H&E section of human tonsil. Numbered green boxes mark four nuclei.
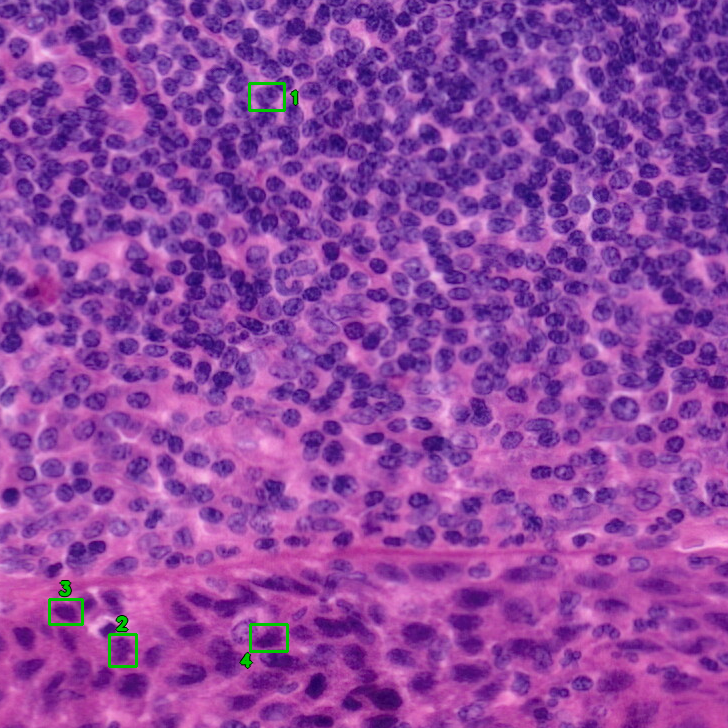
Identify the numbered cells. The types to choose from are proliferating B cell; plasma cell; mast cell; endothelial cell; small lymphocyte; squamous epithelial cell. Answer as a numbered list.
1. small lymphocyte
2. squamous epithelial cell
3. squamous epithelial cell
4. squamous epithelial cell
